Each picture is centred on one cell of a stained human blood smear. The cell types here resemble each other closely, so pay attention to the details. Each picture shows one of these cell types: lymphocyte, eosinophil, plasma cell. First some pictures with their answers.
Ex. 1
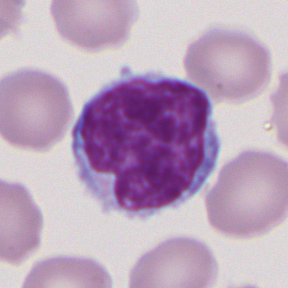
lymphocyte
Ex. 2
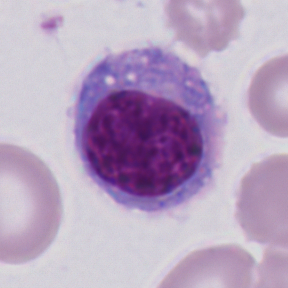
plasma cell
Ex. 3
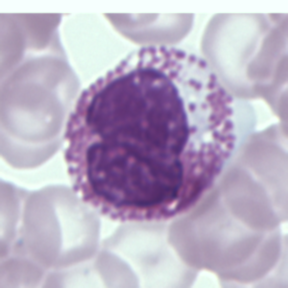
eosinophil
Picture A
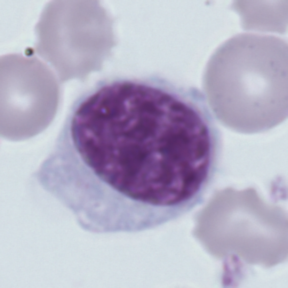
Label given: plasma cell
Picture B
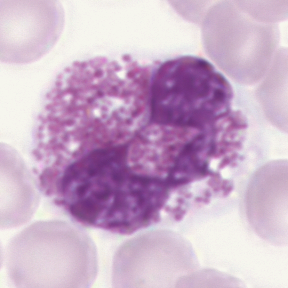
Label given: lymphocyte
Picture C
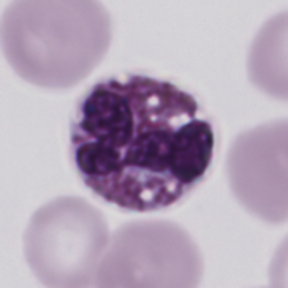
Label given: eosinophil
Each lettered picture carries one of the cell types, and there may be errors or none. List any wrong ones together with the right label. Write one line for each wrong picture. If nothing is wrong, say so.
B: change lymphocyte to eosinophil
